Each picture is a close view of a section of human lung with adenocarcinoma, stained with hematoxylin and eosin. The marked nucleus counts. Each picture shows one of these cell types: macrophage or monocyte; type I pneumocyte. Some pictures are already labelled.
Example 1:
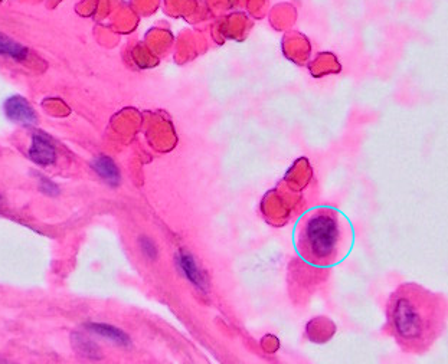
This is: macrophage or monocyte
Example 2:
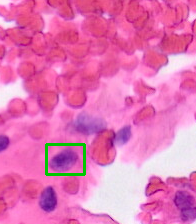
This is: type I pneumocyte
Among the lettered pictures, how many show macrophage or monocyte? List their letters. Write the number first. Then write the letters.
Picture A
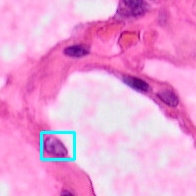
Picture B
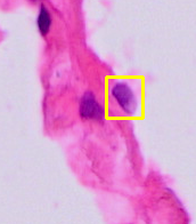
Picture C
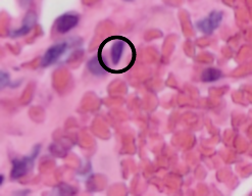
0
